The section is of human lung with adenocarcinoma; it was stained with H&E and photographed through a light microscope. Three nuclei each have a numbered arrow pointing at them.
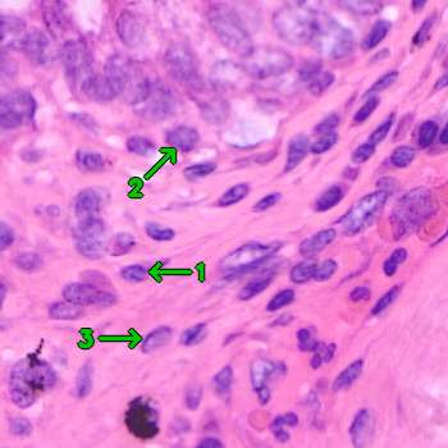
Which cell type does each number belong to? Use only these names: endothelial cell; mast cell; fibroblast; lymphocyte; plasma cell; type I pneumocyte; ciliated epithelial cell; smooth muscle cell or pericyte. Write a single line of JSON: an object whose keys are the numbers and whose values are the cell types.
{"1": "mast cell", "2": "ciliated epithelial cell", "3": "fibroblast"}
